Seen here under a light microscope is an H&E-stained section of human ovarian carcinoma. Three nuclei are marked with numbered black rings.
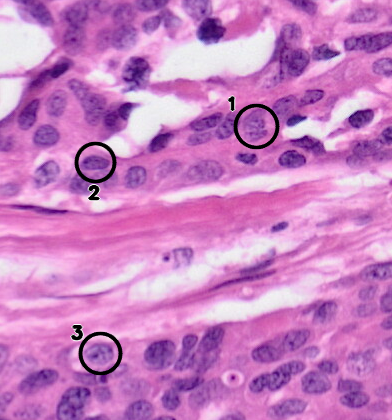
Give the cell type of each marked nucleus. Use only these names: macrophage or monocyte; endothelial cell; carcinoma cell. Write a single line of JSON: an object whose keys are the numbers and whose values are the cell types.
{"1": "carcinoma cell", "2": "carcinoma cell", "3": "macrophage or monocyte"}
